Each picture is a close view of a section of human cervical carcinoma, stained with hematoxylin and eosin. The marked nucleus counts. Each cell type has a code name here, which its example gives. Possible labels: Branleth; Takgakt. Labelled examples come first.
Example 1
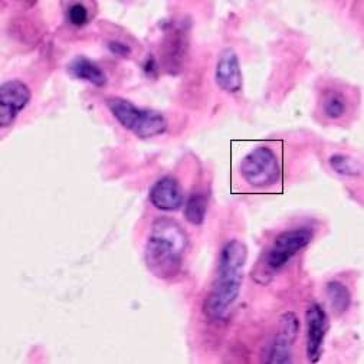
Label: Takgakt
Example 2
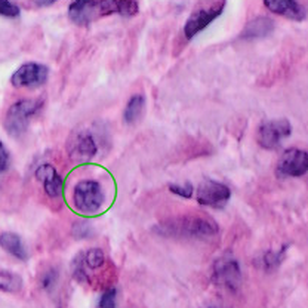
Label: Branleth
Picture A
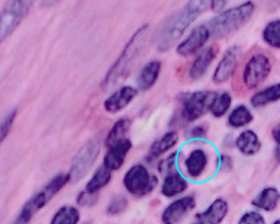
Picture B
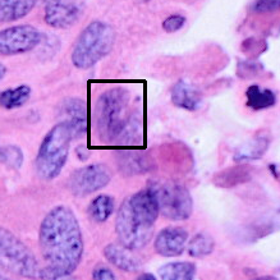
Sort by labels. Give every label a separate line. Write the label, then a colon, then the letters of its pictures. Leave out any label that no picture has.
Branleth: A
Takgakt: B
